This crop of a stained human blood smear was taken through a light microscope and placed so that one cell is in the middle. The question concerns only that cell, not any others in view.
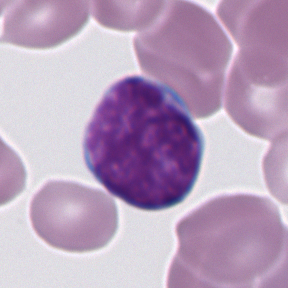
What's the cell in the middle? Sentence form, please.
What the crop centres on is a lymphocyte.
